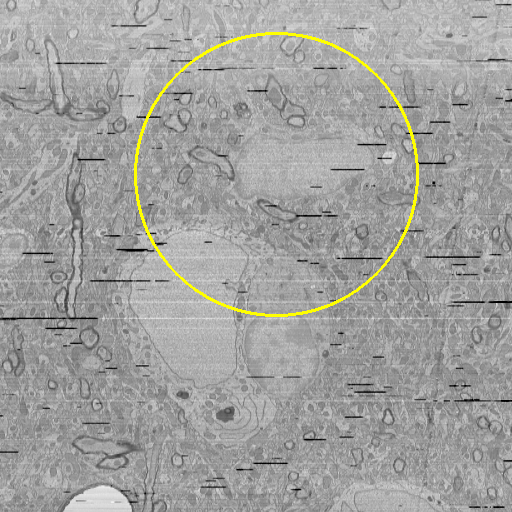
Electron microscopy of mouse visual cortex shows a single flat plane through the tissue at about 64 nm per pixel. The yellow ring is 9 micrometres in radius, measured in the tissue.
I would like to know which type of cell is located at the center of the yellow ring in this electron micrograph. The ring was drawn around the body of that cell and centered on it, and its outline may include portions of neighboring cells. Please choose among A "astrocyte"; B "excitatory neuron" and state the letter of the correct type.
A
